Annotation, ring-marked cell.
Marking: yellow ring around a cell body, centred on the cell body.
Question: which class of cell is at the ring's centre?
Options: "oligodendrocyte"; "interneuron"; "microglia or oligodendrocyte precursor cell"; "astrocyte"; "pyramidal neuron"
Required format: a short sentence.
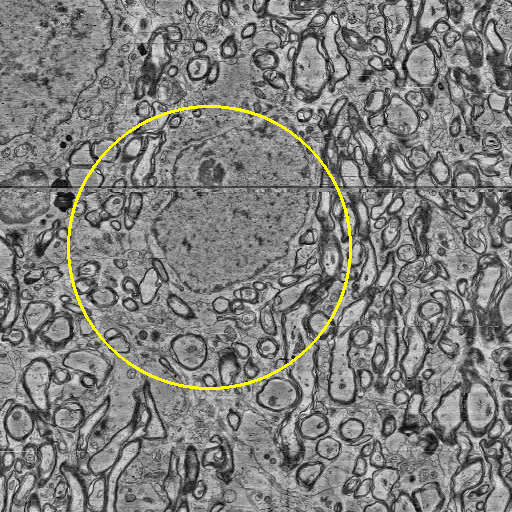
At the ring's centre is an astrocyte.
